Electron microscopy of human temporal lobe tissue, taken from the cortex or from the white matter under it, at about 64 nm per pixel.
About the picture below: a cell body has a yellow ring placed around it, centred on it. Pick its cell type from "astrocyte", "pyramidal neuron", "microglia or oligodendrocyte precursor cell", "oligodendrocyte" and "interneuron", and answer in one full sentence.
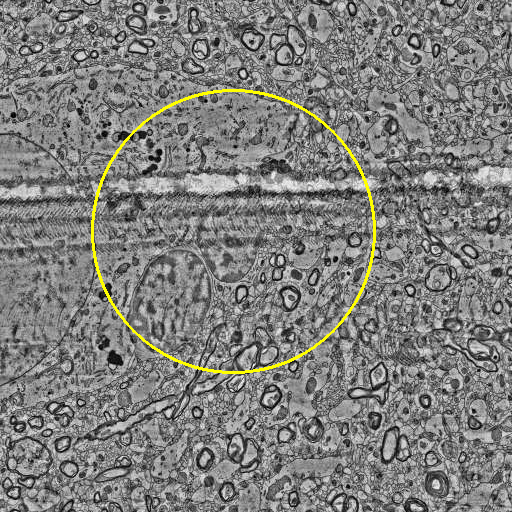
In the picture, a microglial cell or oligodendrocyte precursor cell is the cell sitting at the centre of the yellow ring.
